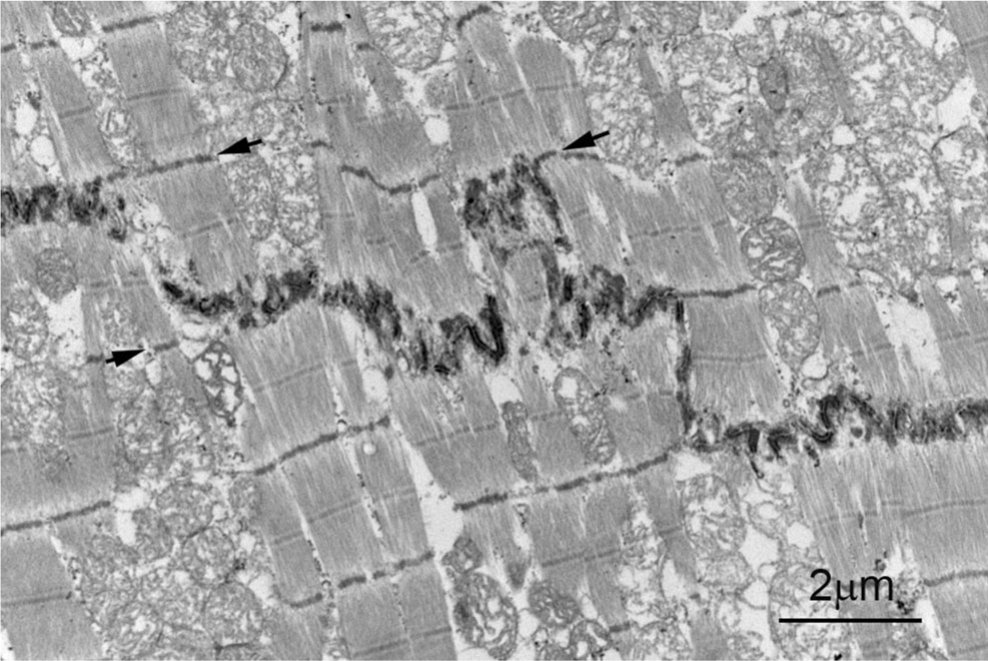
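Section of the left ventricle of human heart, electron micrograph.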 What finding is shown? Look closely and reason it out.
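Mitochondria are poorly preserved. The mitochondria between the myofibrils look swollen and pale. Their cristae are disrupted, with clear empty spaces inside and around them.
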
